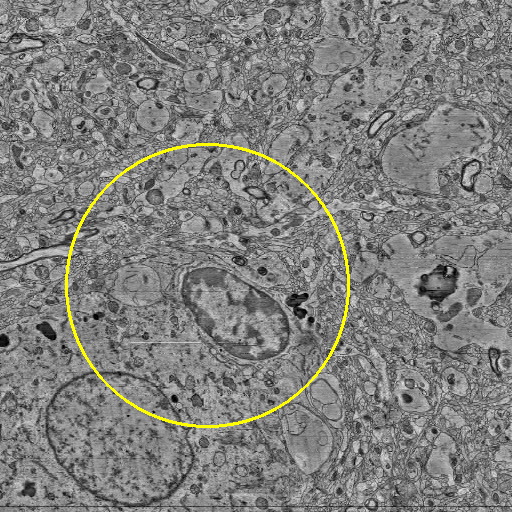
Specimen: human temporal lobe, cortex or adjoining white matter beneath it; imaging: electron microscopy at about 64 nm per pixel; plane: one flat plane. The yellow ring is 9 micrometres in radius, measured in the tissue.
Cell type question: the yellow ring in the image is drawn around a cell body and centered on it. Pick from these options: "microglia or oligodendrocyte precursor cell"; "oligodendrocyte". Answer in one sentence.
The ringed cell at the center is a microglial cell or oligodendrocyte precursor cell.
